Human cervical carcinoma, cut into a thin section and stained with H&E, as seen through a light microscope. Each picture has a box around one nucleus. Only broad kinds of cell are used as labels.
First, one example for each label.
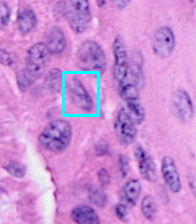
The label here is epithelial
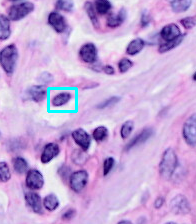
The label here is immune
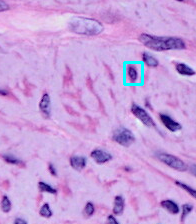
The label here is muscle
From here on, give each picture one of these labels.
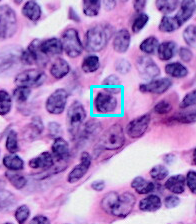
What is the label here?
immune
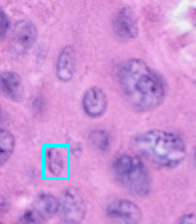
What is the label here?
epithelial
